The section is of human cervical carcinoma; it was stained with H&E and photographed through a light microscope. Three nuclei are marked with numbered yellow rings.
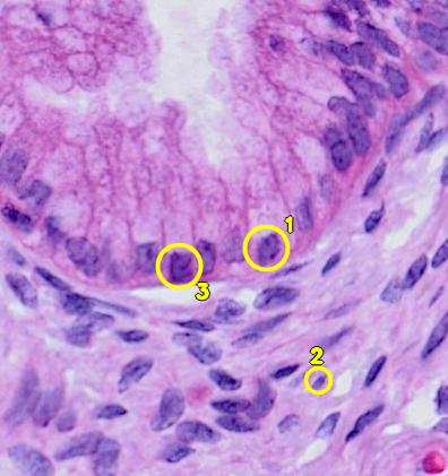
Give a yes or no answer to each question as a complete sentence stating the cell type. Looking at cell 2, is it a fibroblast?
Yes, and to answer plainly, cell 2 is a fibroblast.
